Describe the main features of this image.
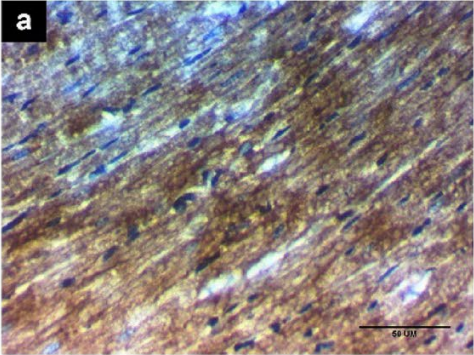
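Long muscle fibres run in parallel bundles diagonally across the field, each with oval, elongated blue nuclei lying within it. Dense brown stain fills the cytoplasm of most of the fibres, leaving the nuclei blue. The fibres lie close together with little space between them. These are myofibers with strong cytoplasmic staining throughout most of the tissue.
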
